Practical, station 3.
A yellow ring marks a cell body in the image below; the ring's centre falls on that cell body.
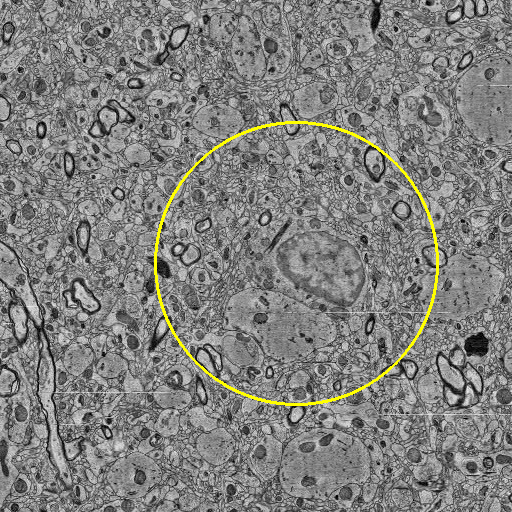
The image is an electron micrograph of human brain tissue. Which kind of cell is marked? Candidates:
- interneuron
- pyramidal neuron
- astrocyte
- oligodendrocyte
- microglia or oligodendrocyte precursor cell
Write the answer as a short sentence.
The marked cell body is that of an oligodendrocyte.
